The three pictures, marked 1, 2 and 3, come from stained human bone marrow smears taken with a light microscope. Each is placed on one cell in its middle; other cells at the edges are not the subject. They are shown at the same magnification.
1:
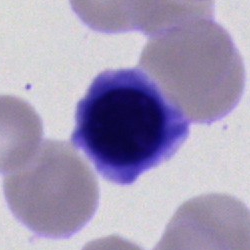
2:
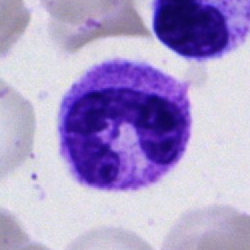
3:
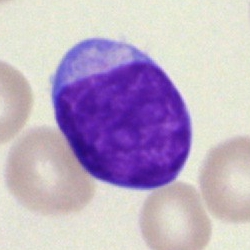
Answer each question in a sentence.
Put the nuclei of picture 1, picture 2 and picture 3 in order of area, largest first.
The order is 3, 2, 1, beginning with the largest.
